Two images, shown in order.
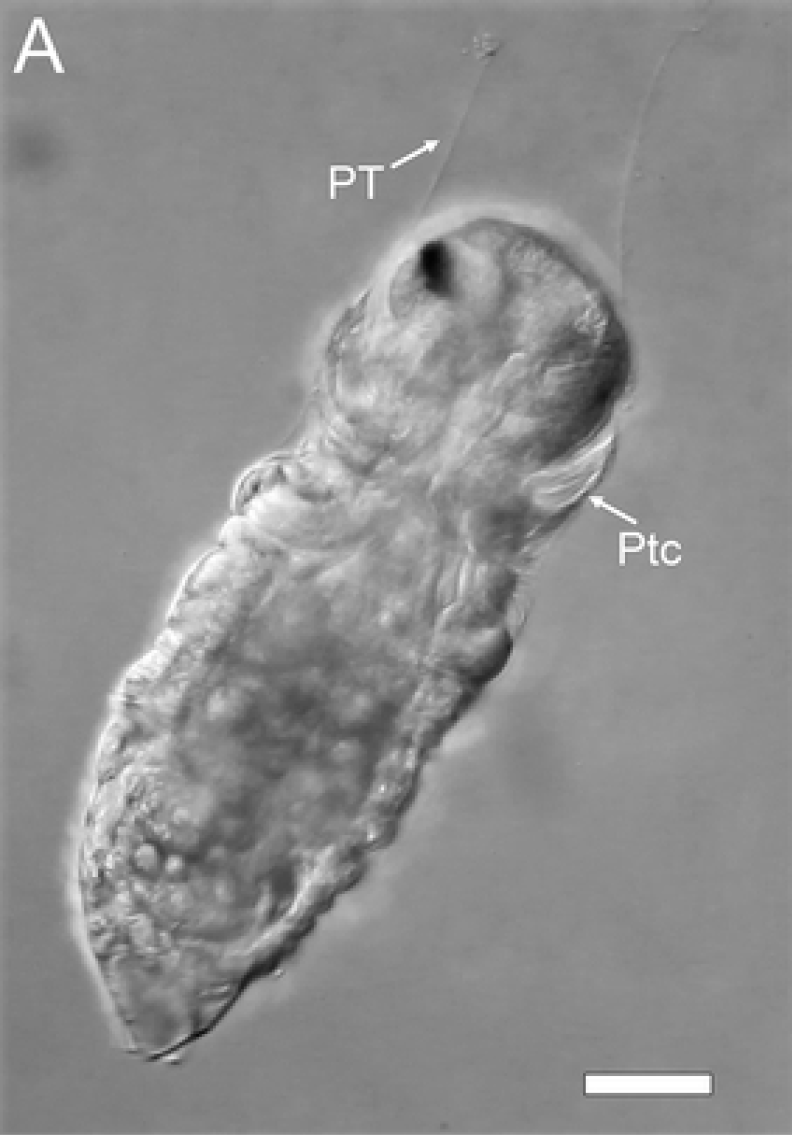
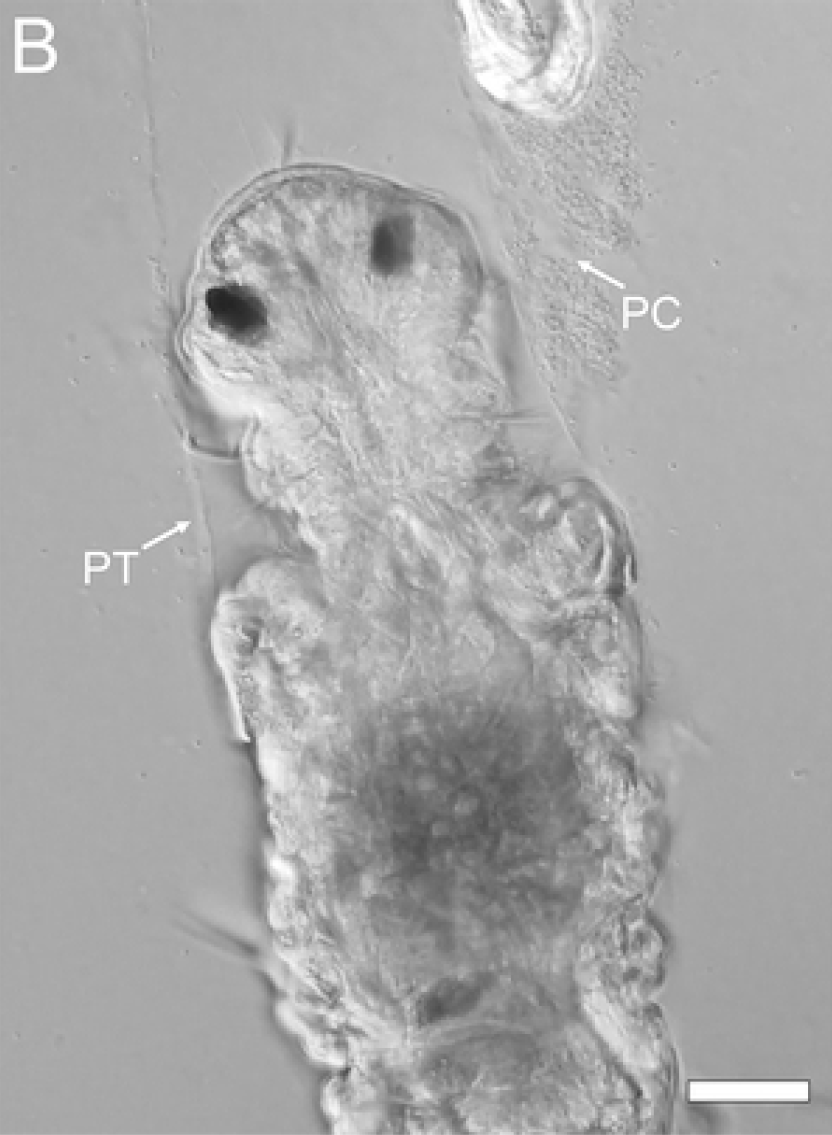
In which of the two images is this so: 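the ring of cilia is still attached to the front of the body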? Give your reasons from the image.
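Second image: a loose mass of cilia lies apart from the body, off to the side of the larva's head. First image: a bundle of cilia sits against the side of the head region, attached to the body. The answer: the first image.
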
